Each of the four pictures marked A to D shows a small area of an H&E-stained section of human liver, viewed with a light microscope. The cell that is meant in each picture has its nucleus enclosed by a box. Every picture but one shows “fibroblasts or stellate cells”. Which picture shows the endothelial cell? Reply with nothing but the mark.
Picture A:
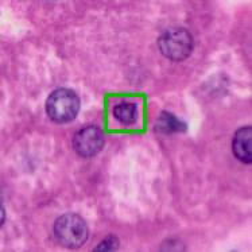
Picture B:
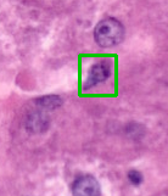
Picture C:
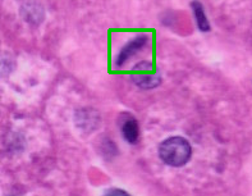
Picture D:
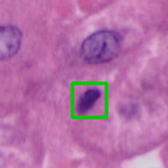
B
